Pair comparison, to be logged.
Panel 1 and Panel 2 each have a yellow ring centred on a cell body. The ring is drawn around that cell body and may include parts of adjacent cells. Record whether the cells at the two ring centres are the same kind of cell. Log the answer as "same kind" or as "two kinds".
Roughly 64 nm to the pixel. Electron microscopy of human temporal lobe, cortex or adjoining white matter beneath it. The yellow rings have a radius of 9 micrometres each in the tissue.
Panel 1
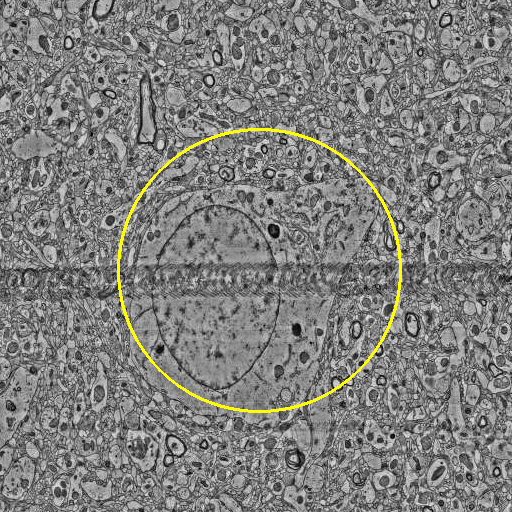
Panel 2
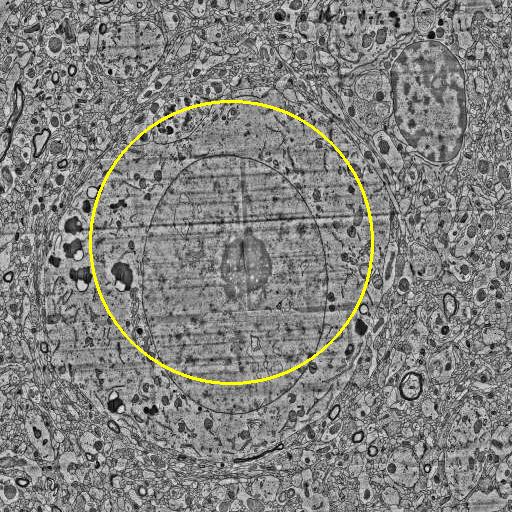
same kind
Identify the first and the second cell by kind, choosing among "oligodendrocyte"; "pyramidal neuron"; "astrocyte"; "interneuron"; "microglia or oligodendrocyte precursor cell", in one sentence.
The ring centre holds a pyramidal neuron in each of the two pictures.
